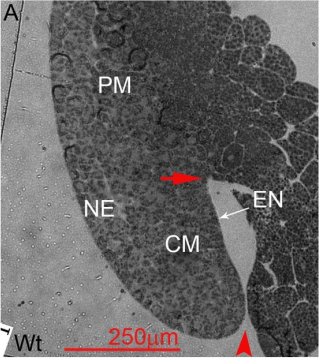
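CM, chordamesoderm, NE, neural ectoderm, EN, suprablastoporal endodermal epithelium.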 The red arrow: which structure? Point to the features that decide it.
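The arrow points to the closed upper end of a narrow cleft running between two cell masses. The cleft opens downward toward the lower edge of the embryo. That points to this answer: tip of archenteron.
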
